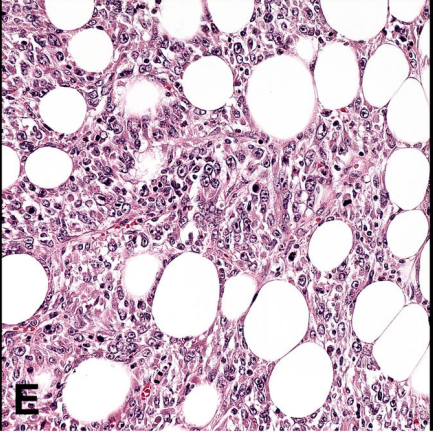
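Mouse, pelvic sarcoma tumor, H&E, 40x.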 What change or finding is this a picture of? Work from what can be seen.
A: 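Round, empty, clear fat cells are scattered through the field. Tumor cells with atypical nuclei fill the spaces between the fat cells.
Conclusion: invasion of adipose tissue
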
